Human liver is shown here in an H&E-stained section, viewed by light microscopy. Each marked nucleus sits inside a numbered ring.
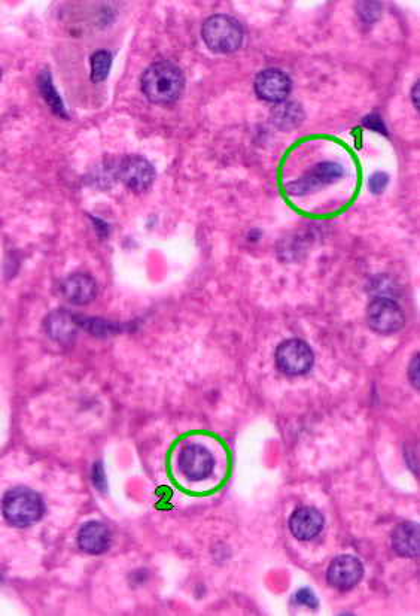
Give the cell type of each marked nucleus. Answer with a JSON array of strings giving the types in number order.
["Kupffer cell", "hepatocyte"]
